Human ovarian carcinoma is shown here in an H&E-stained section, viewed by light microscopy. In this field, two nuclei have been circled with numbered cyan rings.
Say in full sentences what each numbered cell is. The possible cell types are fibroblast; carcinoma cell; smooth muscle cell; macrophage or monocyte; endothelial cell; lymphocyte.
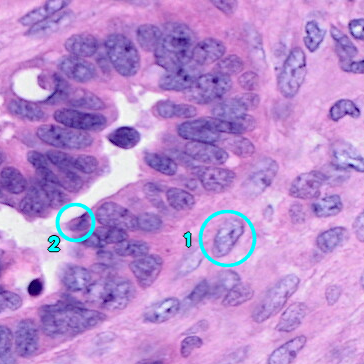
Cell 1 is a fibroblast and cell 2 is a carcinoma cell.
